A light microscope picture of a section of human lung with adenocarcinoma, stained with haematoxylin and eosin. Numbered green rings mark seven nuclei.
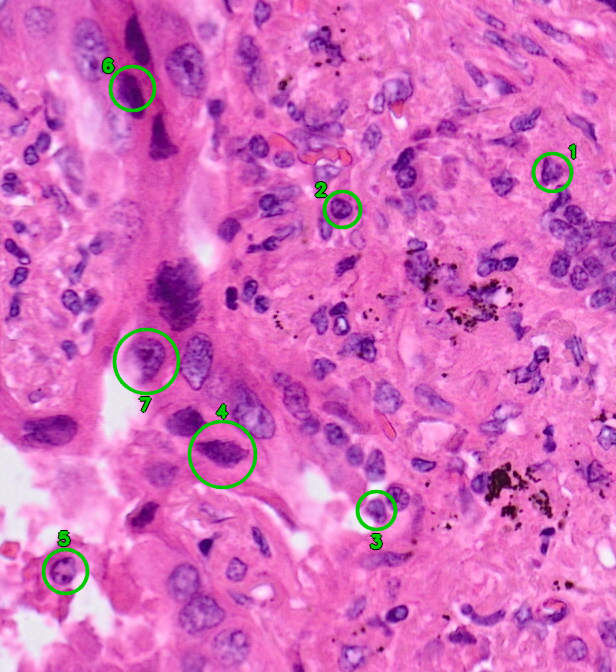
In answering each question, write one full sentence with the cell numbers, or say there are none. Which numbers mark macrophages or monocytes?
Exactly one of the numbered cells is a macrophage or monocyte, namely cell 5.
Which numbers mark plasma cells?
Classified as plasma cells are the cells numbered 1 and 2.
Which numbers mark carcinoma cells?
The cells given the numbers 4, 6 and 7 are carcinoma cells.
